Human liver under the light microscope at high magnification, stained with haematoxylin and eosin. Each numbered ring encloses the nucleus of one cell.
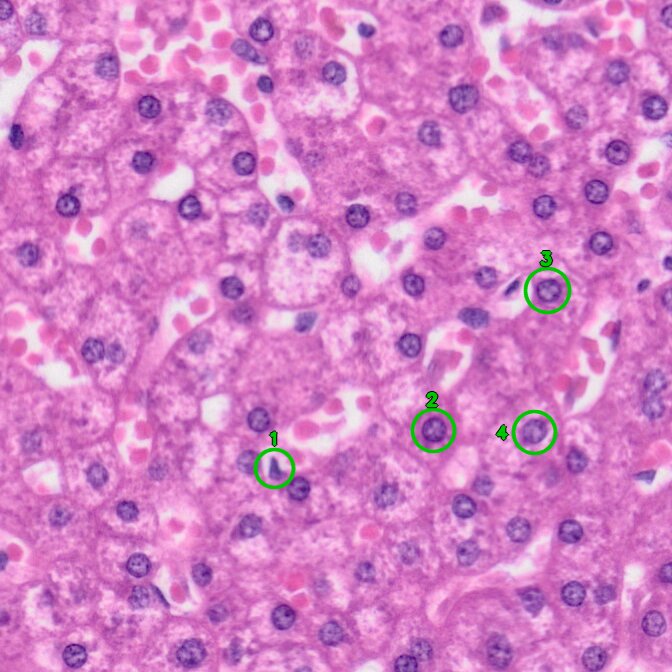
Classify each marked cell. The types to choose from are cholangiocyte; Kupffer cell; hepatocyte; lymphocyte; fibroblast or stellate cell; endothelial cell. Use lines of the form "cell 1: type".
cell 1: endothelial cell
cell 2: hepatocyte
cell 3: hepatocyte
cell 4: hepatocyte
